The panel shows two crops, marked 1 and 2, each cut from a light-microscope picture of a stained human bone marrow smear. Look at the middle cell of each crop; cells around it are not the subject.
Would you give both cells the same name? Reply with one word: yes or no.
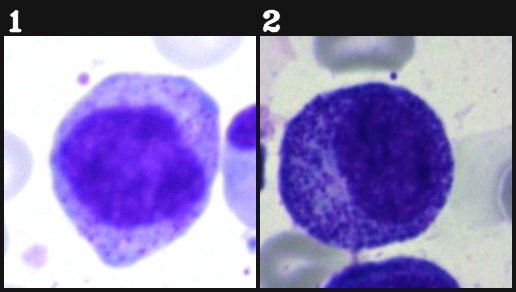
yes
